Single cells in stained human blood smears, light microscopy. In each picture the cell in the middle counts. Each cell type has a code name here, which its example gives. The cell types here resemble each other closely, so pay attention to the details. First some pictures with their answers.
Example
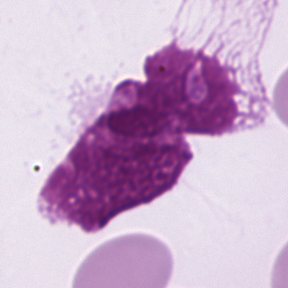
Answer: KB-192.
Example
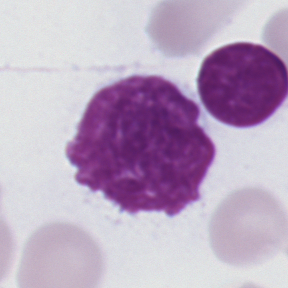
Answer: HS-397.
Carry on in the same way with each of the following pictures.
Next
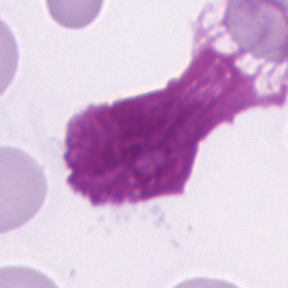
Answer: KB-192.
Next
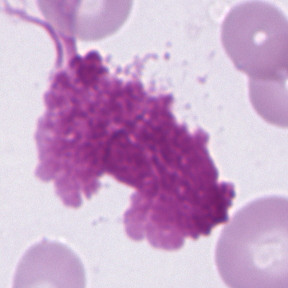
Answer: KB-192.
